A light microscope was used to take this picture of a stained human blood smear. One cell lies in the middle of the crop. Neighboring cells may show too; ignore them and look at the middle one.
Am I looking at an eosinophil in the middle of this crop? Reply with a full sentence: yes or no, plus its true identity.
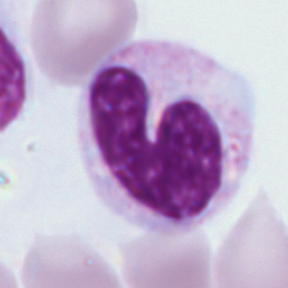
No, the central cell is identified not as an eosinophil but as a band neutrophil.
